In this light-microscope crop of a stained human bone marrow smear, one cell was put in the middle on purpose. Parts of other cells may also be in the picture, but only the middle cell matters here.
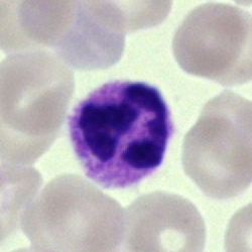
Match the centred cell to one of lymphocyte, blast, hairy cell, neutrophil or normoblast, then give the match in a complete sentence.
In the centre of this crop there is a neutrophil.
